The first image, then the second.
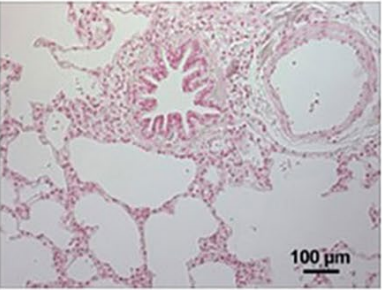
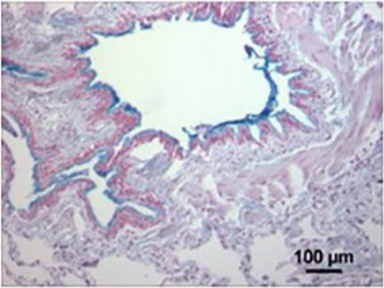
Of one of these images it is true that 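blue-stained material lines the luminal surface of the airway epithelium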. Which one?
the second image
